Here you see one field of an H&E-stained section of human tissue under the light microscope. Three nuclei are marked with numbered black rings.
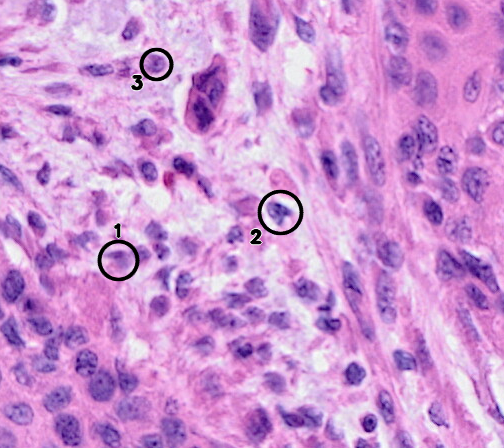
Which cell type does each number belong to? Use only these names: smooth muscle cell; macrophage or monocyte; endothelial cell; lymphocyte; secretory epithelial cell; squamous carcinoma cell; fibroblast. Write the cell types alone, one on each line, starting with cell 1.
fibroblast
lymphocyte
fibroblast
